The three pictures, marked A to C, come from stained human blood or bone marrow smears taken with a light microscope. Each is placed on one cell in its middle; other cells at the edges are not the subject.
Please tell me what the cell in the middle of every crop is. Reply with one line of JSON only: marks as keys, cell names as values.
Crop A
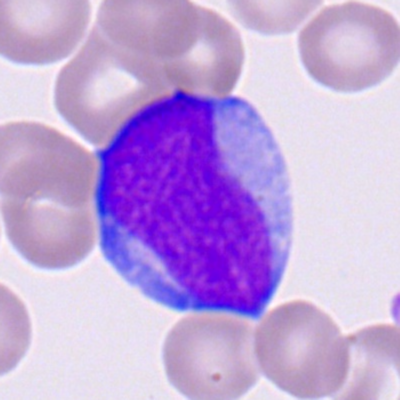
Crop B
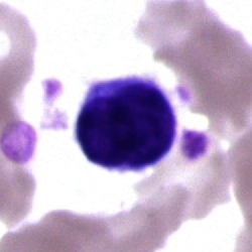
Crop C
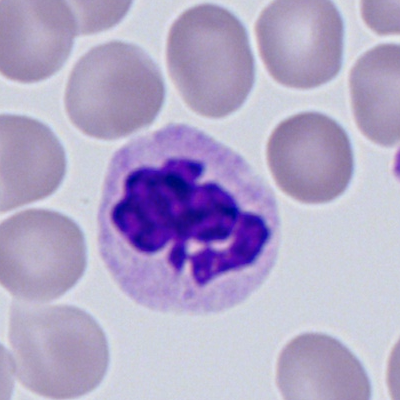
{"A": "blast", "B": "lymphocyte", "C": "segmented neutrophil"}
